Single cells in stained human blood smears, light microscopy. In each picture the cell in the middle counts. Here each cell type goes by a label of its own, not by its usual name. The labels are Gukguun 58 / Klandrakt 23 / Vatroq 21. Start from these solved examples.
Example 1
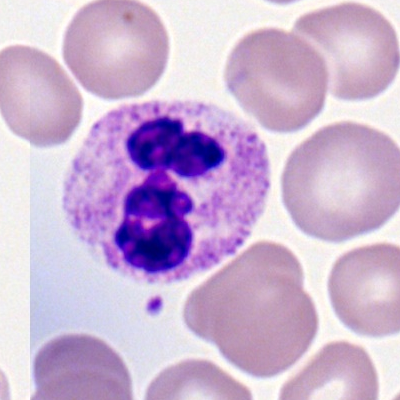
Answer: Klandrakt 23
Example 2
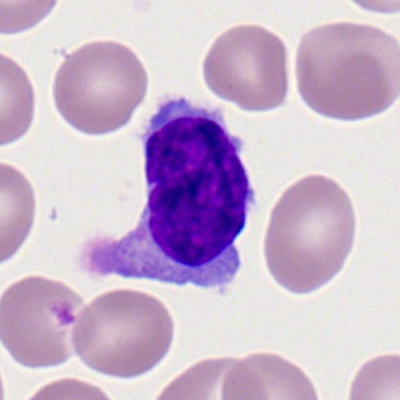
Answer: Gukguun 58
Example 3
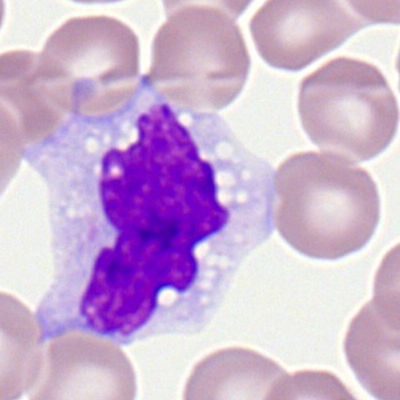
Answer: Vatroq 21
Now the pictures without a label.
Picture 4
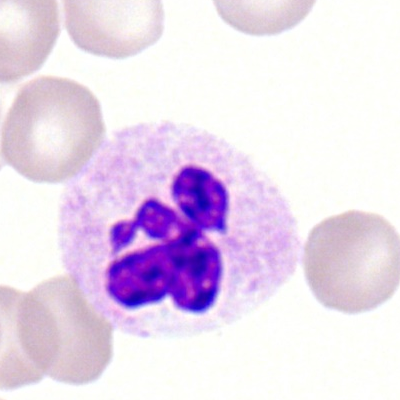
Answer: Klandrakt 23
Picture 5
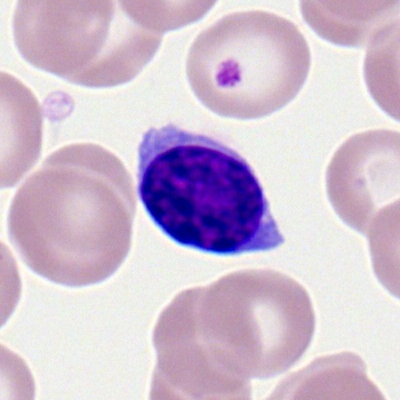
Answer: Gukguun 58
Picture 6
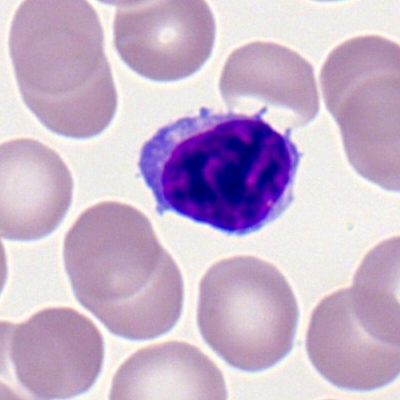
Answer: Gukguun 58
